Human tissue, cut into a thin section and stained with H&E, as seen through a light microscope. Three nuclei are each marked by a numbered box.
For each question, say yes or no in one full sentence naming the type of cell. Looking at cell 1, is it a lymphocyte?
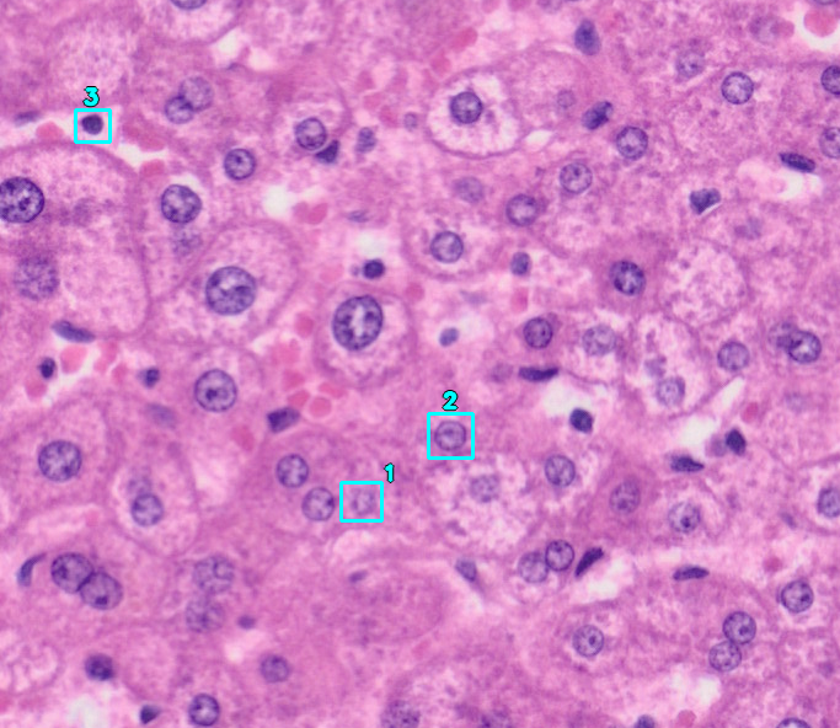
No, for cell 1, the correct identification is a hepatocyte instead of a lymphocyte.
